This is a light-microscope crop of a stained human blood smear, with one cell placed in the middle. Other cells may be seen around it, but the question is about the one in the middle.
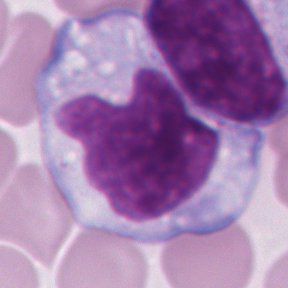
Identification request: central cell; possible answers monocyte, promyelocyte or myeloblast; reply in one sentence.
As for the cell in the middle, it is a monocyte.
